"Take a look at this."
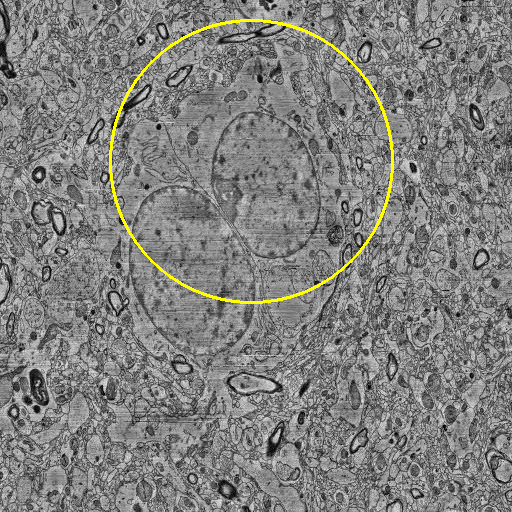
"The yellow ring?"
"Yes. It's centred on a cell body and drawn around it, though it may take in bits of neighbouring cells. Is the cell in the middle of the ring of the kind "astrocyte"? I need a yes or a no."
Yes, it is of the kind asked about.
